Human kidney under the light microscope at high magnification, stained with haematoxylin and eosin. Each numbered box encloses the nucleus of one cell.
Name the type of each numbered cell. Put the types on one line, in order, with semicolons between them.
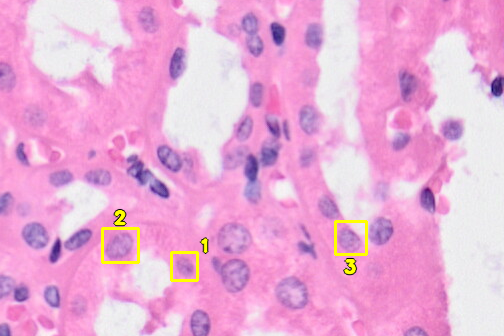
proximal tubule cell; proximal tubule cell; loop of Henle or distal tubule cell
